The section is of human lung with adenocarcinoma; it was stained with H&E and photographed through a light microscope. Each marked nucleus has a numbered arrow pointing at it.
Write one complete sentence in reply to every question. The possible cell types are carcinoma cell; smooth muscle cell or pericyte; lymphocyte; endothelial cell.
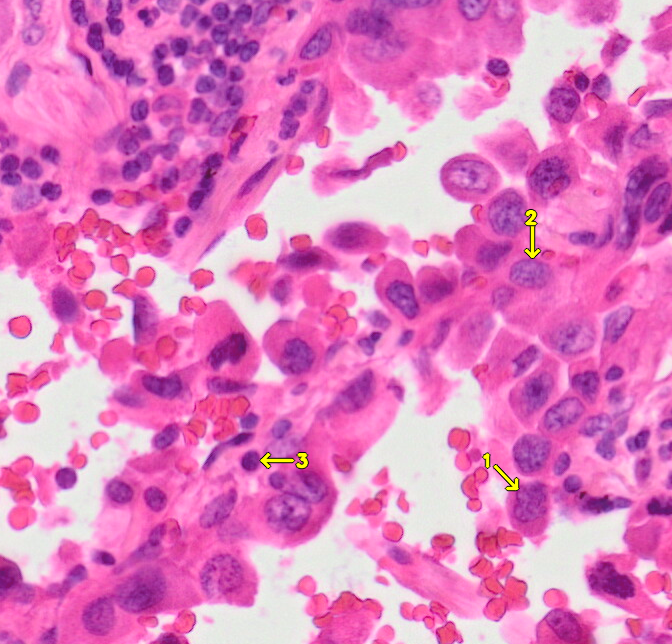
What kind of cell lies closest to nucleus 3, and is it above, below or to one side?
The nearest one is an endothelial cell, found above and to the left of nucleus 3.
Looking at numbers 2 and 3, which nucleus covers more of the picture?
Nucleus 2 is larger, with an area about 3 times that of nucleus 3.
